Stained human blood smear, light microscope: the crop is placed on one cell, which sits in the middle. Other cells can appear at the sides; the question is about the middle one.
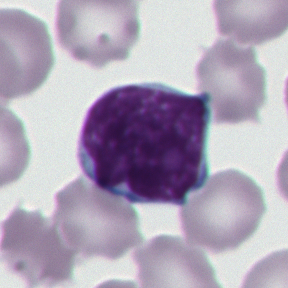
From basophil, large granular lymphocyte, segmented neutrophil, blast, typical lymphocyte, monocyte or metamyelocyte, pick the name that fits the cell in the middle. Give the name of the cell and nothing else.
typical lymphocyte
